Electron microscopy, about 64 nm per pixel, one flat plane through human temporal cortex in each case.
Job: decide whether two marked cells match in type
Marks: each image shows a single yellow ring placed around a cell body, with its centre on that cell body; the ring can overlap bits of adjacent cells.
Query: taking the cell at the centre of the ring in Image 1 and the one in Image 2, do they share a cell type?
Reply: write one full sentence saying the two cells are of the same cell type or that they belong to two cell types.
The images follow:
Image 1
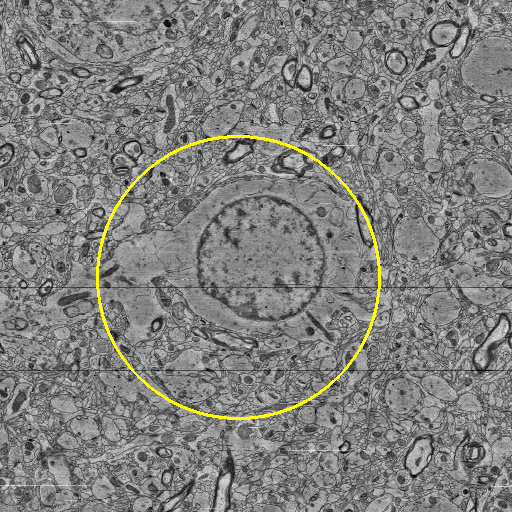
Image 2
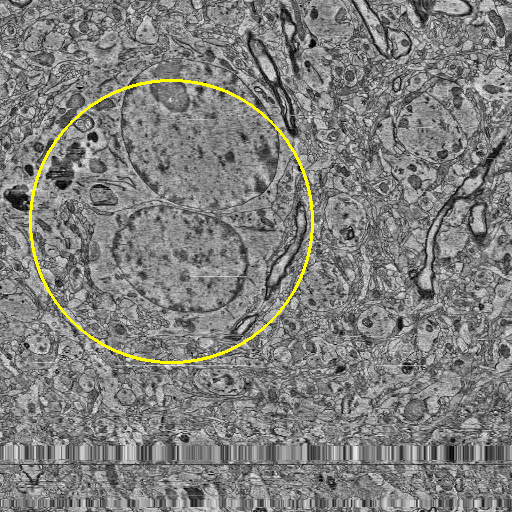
The cells at the ring centres in Image 1 and Image 2 are of the same cell type.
